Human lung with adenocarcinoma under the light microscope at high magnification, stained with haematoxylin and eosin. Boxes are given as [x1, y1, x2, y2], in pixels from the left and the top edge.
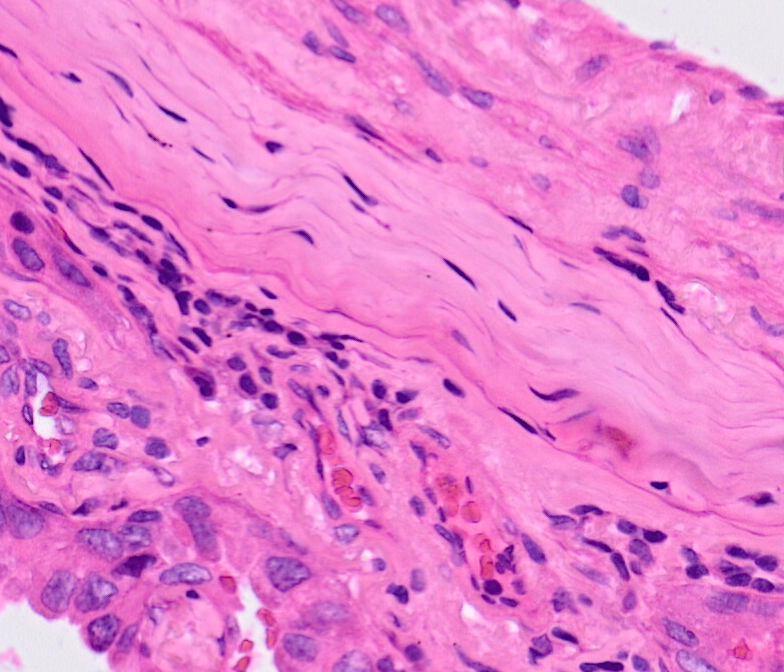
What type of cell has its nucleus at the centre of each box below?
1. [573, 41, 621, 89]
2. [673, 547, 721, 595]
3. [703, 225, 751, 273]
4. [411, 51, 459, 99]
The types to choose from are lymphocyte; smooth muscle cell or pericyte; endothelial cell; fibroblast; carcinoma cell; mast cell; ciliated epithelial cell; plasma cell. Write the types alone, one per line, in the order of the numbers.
smooth muscle cell or pericyte
lymphocyte
smooth muscle cell or pericyte
smooth muscle cell or pericyte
